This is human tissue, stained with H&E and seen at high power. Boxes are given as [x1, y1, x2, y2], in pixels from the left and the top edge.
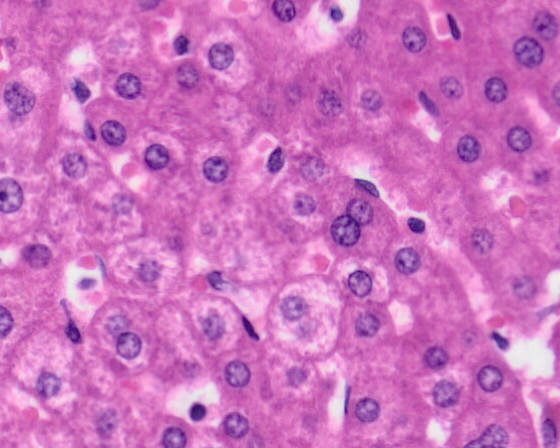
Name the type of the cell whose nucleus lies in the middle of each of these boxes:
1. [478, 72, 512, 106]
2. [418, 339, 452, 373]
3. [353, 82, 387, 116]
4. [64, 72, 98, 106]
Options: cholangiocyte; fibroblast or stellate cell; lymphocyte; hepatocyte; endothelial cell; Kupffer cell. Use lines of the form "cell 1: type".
cell 1: hepatocyte
cell 2: hepatocyte
cell 3: hepatocyte
cell 4: endothelial cell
